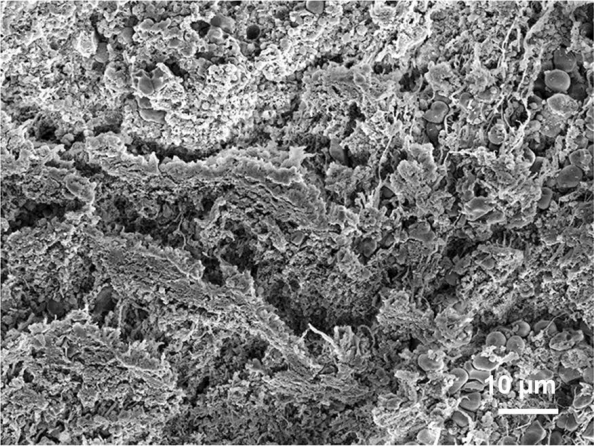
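Toward the right and lower right, groups of rounded, disc-shaped red blood cells lie close together. Between and around these groups is a ruffled, fibrous material with a layered, crumpled texture. In places, the matrix forms sheet-like folds that run across the field.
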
